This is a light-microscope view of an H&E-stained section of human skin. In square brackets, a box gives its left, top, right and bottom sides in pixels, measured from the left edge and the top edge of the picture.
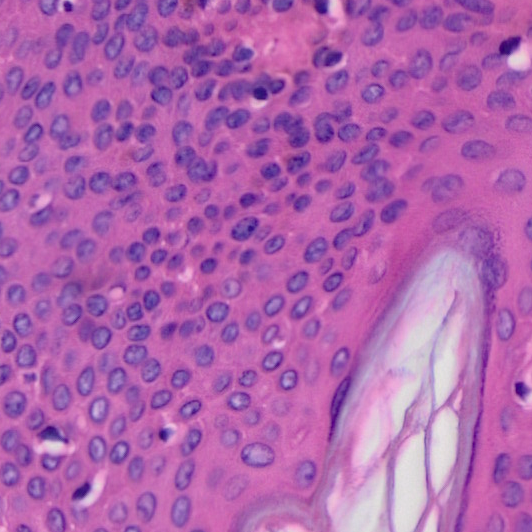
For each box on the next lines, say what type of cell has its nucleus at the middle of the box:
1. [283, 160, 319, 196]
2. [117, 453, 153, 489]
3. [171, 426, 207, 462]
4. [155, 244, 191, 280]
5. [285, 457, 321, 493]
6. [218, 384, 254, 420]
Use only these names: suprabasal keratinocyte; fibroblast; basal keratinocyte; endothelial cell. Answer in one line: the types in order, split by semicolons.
basal keratinocyte; suprabasal keratinocyte; suprabasal keratinocyte; basal keratinocyte; suprabasal keratinocyte; suprabasal keratinocyte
